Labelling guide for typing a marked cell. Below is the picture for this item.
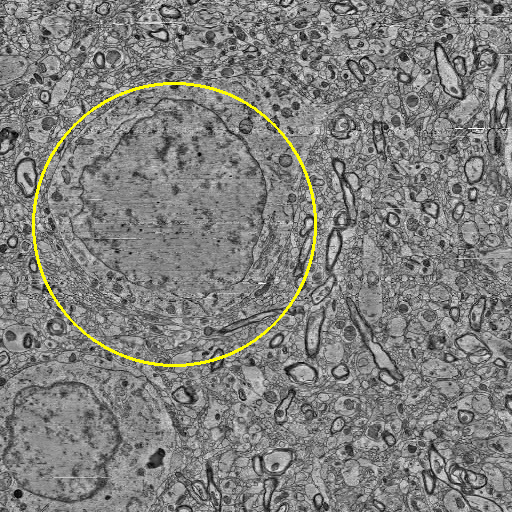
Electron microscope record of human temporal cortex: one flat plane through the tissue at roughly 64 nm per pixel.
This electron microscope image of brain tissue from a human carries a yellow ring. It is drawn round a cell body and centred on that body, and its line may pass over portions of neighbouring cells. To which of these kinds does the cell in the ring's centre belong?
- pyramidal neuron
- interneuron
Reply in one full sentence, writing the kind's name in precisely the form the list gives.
Here we have a pyramidal neuron at the centre of the yellow ring in the picture.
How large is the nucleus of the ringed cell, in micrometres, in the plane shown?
The nucleus appears about 13 micrometres across in this plane.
